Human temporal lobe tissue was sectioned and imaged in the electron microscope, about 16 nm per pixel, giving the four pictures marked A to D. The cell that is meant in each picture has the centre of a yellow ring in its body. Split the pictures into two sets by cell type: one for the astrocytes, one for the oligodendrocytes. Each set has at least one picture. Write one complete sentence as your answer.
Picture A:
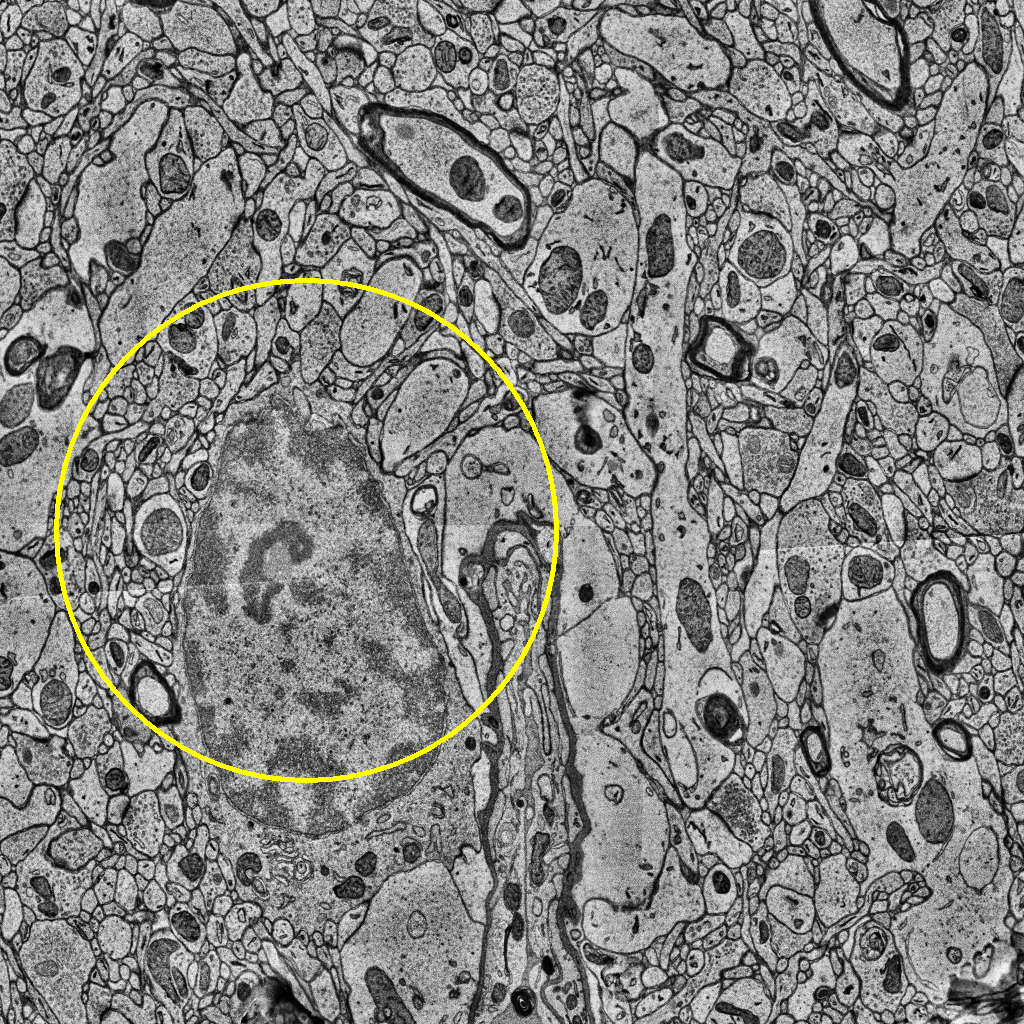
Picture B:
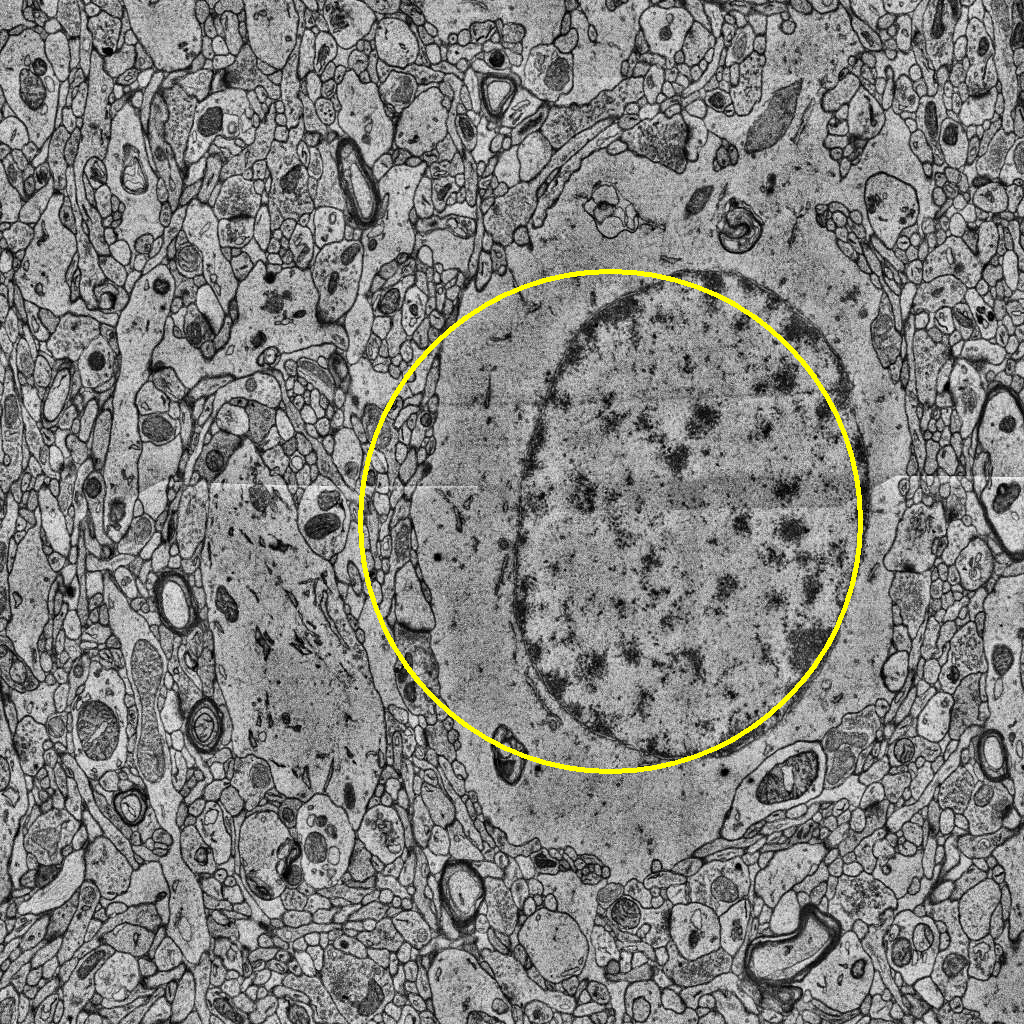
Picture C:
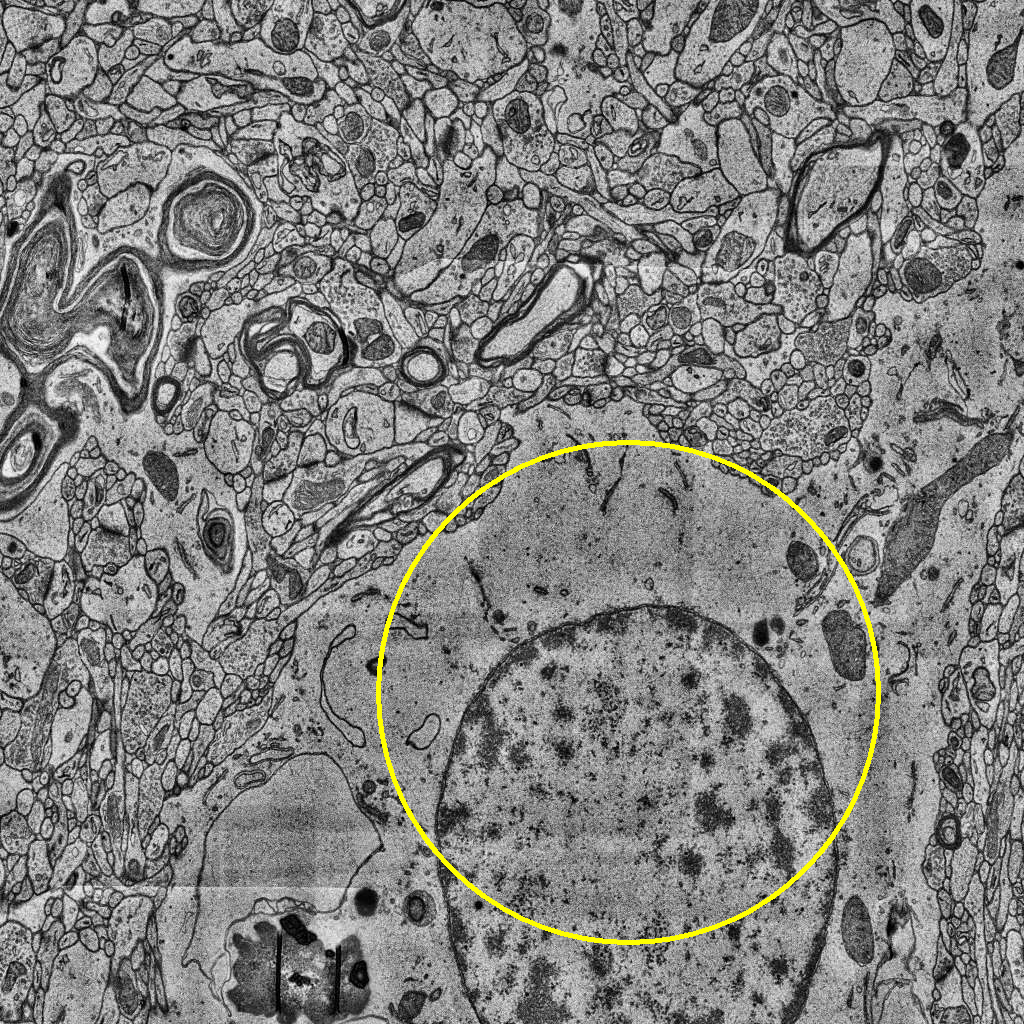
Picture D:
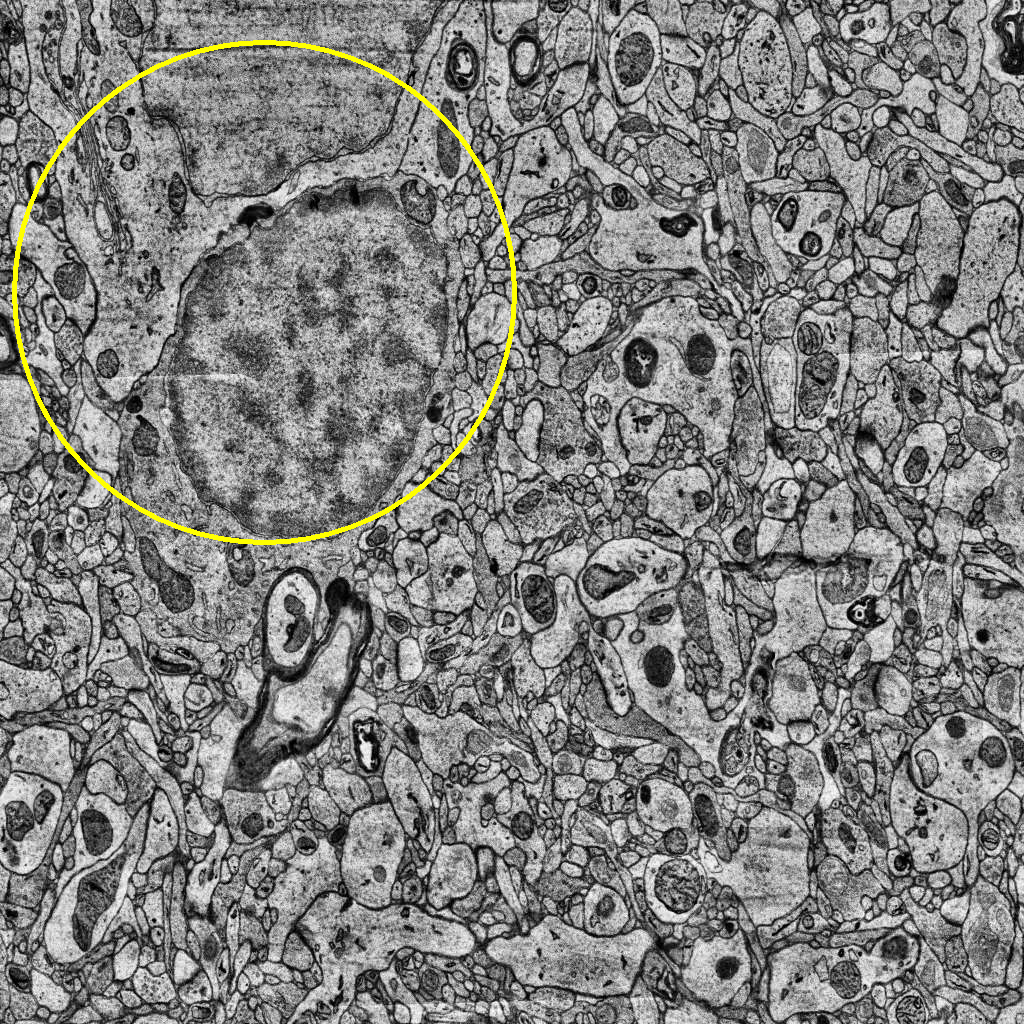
Pictures B and C show astrocytes, while pictures A and D show oligodendrocytes.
